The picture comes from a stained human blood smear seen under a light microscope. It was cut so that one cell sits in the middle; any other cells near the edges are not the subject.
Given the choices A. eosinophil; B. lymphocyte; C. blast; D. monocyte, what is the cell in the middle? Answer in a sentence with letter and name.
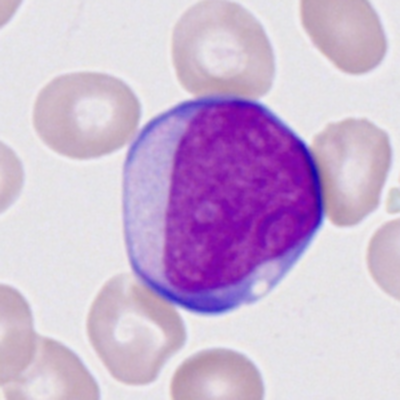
The cell at the centre is a blast, and option C accordingly is correct.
